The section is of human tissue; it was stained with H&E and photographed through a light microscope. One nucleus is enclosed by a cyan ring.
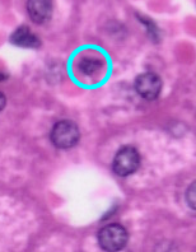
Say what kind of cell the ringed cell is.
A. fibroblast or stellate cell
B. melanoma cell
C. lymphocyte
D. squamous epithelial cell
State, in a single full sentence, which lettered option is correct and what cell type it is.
Option A names the ringed cell correctly as a fibroblast or stellate cell.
